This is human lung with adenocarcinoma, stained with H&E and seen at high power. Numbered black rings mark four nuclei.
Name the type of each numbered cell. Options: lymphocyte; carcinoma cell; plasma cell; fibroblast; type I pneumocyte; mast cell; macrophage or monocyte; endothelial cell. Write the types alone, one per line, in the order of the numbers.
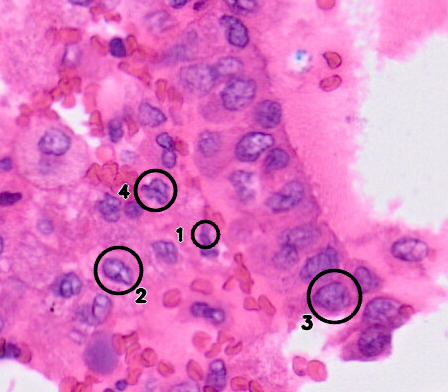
macrophage or monocyte
macrophage or monocyte
carcinoma cell
macrophage or monocyte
